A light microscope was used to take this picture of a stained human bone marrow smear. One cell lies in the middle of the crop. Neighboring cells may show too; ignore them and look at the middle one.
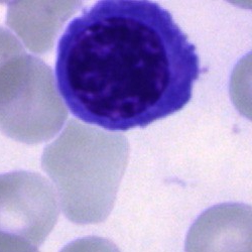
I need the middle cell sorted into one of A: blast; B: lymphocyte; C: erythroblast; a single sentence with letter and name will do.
The cell shown centrally is an erythroblast; option C is the correct option.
